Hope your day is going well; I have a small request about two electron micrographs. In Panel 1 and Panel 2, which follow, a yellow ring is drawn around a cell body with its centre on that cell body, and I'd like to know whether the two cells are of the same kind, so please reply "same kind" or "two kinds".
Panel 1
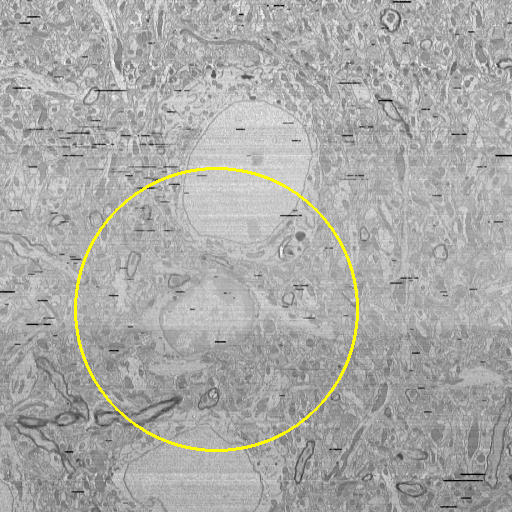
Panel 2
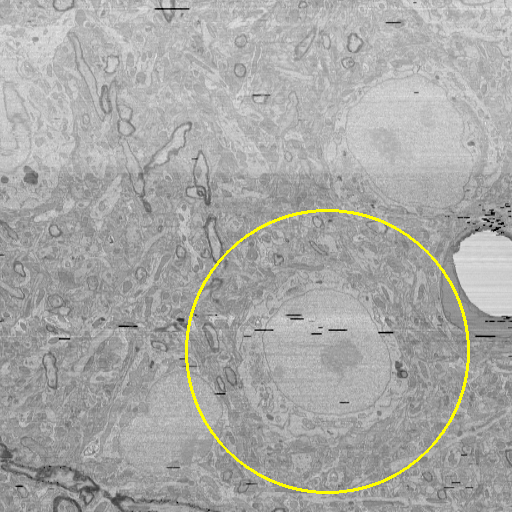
two kinds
